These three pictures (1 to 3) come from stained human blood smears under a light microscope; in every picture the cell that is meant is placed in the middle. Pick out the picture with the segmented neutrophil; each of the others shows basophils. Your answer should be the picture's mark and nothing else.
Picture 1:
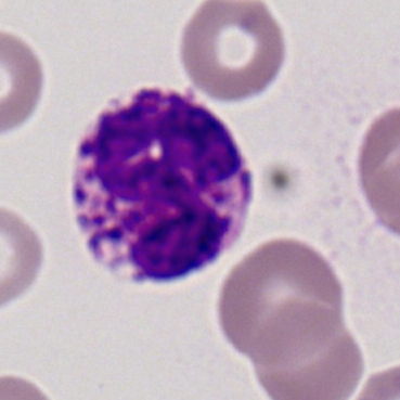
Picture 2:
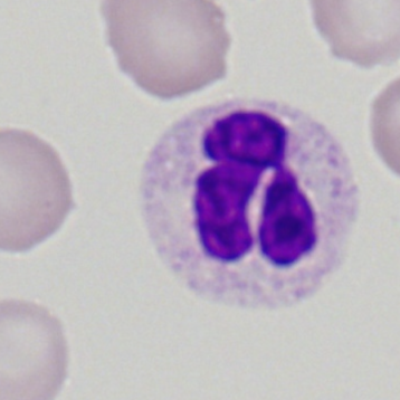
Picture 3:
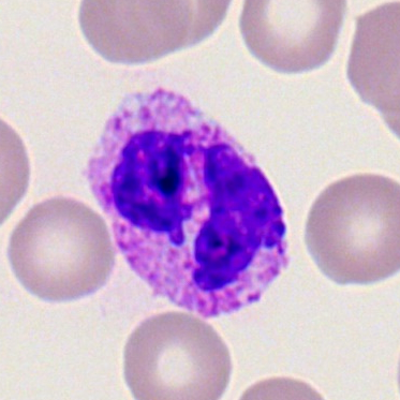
2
